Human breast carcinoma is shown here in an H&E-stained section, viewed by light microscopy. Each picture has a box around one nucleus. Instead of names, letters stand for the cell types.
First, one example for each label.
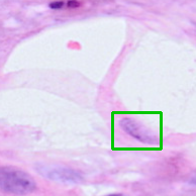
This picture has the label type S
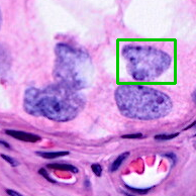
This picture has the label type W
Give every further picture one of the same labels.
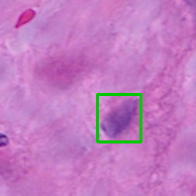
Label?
type S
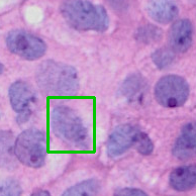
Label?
type W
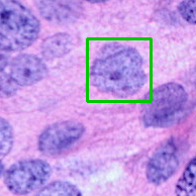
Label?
type W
